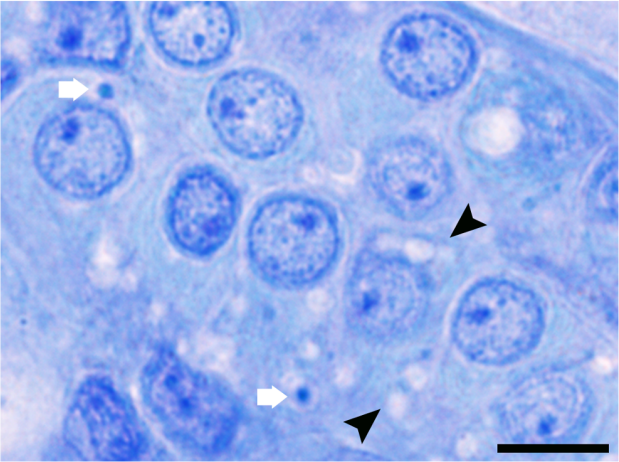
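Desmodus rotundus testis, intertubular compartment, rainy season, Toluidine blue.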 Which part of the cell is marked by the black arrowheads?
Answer: lipid droplets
